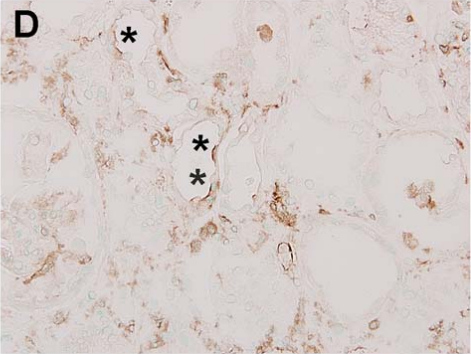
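Kidney tissue with pale rounded renal tubules separated by interstitium containing scattered brown-stained cells. The interstitial cells between tubules are small and irregular, with brown cytoplasm, and occur singly or in small clusters. A few small vessels with brown walls are seen. Most of the tubular epithelium itself stays faint.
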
